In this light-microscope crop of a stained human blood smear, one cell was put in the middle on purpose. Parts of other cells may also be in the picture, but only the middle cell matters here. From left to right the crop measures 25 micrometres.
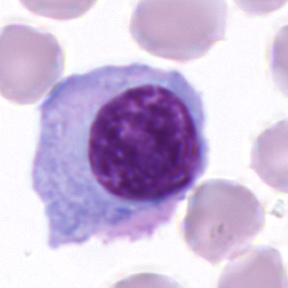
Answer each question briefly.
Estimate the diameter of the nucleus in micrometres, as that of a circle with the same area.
10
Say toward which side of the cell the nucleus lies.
right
